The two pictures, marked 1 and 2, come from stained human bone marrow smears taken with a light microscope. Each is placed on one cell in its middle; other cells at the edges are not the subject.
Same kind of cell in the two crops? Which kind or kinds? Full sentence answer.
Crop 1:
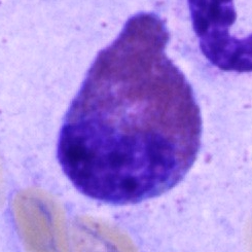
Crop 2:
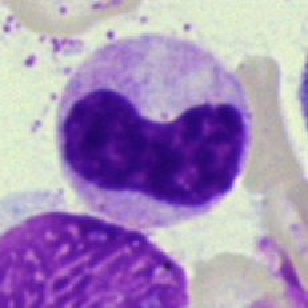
No, it is an eosinophil that crop 1 shows, and a band neutrophil that crop 2 shows.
